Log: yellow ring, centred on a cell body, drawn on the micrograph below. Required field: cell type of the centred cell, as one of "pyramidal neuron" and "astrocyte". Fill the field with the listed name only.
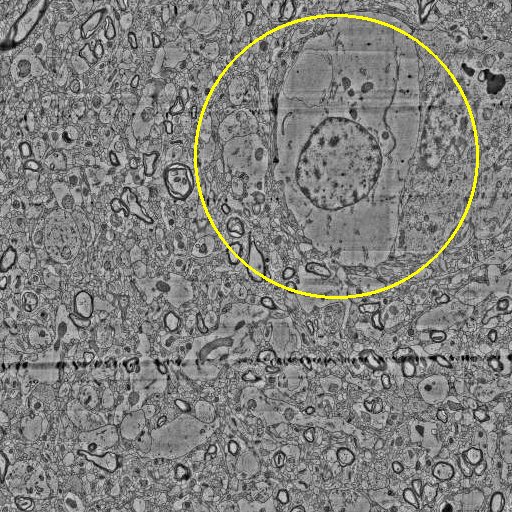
astrocyte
